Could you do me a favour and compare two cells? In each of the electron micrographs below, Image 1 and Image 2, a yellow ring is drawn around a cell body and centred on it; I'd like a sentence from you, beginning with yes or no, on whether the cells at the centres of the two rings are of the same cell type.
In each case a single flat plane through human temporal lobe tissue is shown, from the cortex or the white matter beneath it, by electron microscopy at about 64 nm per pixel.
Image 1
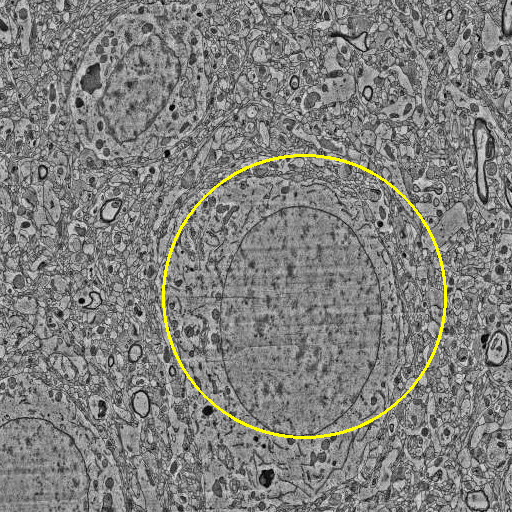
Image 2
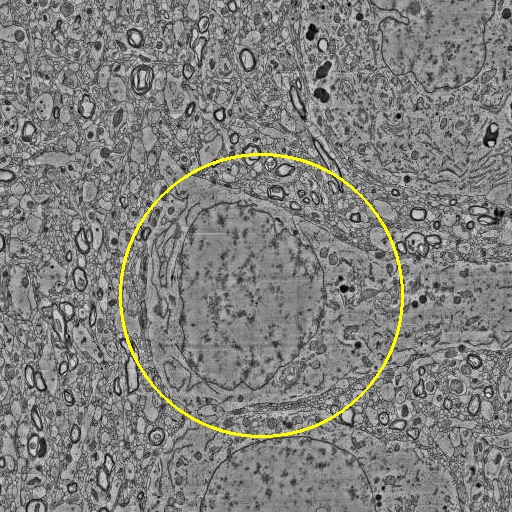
Yes, the two cells are of the same cell type.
